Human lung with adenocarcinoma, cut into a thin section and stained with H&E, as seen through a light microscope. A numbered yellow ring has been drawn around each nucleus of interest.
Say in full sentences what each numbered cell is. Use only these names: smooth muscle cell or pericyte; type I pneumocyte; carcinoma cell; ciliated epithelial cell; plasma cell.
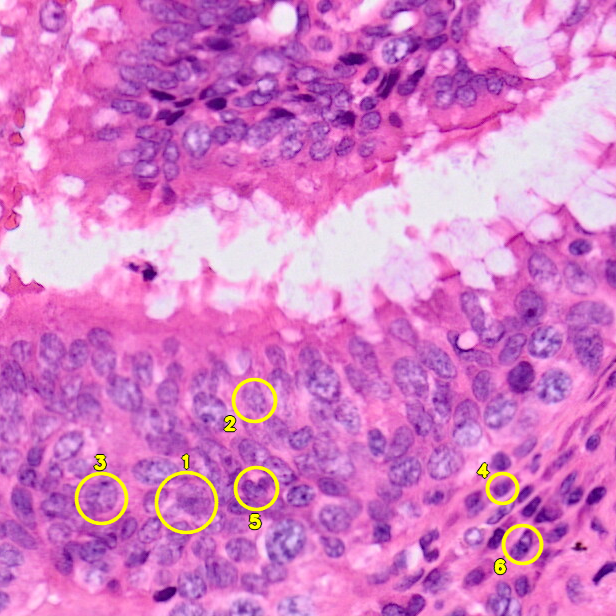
Cell 1 is a ciliated epithelial cell, cell 2 is a ciliated epithelial cell, cell 3 is a ciliated epithelial cell, cell 4 is a plasma cell, cell 5 is a ciliated epithelial cell and cell 6 is a plasma cell.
